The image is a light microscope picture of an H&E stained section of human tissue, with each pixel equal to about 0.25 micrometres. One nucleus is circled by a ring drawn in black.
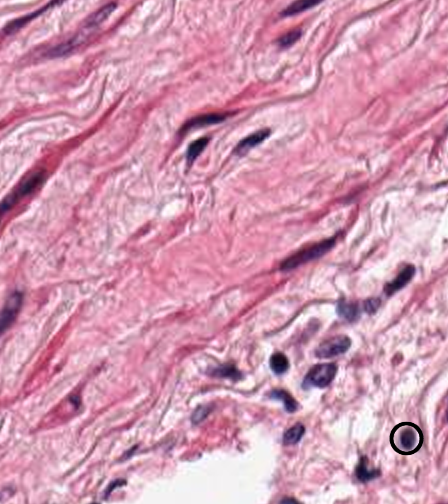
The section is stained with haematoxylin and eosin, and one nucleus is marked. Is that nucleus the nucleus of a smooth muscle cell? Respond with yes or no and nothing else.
no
